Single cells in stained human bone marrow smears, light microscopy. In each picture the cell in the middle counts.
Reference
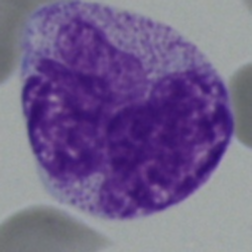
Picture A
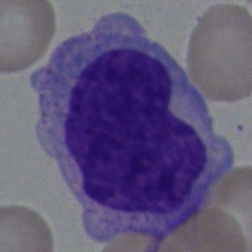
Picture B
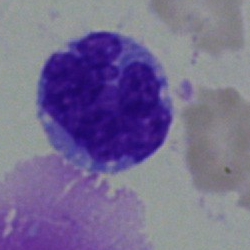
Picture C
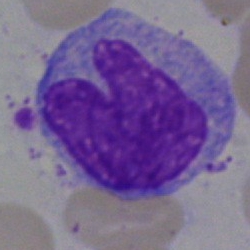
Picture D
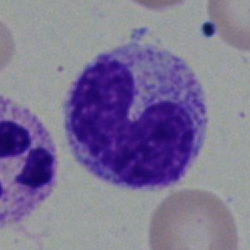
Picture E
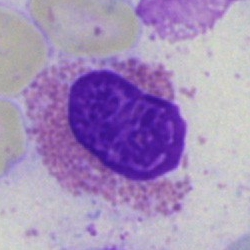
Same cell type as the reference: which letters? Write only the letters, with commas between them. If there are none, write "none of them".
A, B, C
